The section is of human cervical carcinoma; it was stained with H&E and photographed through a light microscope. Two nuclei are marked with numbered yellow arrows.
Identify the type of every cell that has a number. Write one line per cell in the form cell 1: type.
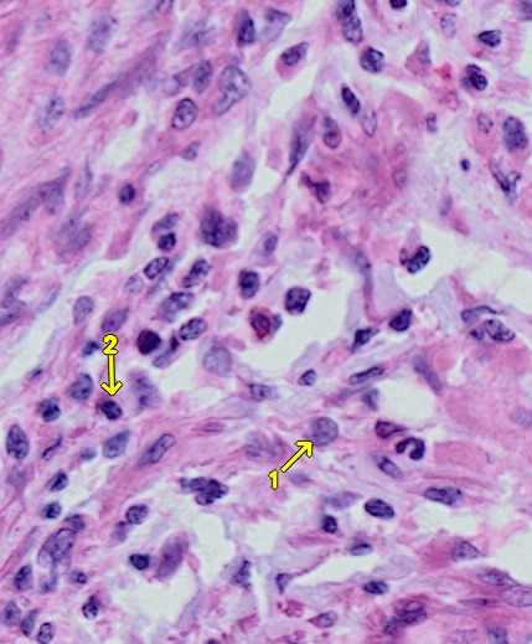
cell 1: macrophage or monocyte
cell 2: lymphocyte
